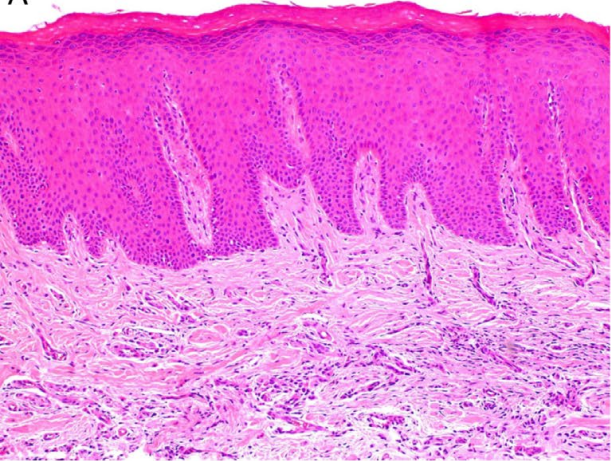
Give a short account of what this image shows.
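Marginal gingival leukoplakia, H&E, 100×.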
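A continuous bright pink keratin layer lies over the surface. The basal cells form an orderly darker purple layer, and the cells mature in an even, regular way toward the surface. Below, the connective tissue is made of pink collagen bundles with scattered spindle-shaped nuclei and a few small vessels.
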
